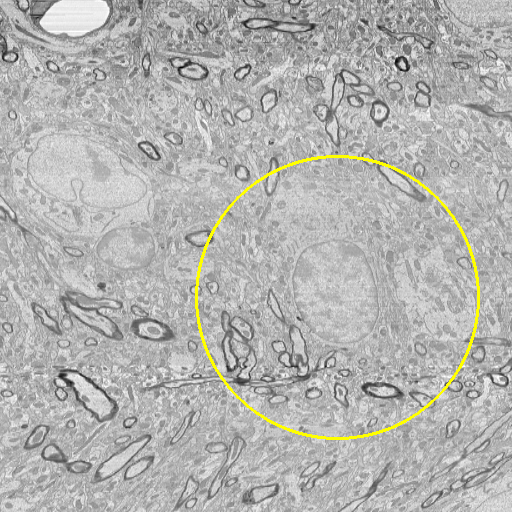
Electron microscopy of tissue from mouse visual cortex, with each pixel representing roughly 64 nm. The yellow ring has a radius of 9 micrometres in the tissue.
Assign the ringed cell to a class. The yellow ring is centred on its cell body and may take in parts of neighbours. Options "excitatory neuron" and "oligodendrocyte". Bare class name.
oligodendrocyte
